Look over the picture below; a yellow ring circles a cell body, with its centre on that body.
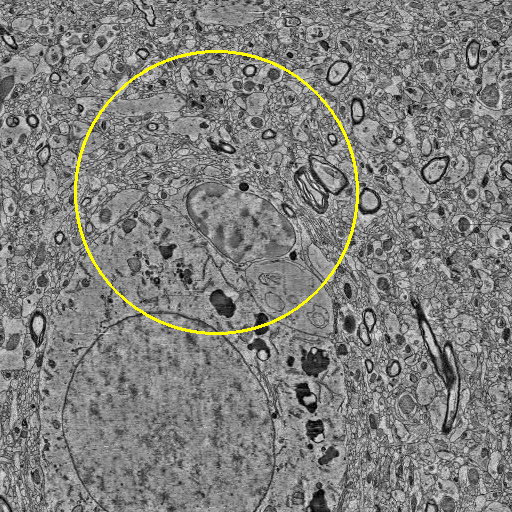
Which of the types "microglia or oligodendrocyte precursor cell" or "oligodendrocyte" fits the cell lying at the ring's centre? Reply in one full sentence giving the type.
The picture shows a microglial cell or oligodendrocyte precursor cell at the centre of the yellow ring.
